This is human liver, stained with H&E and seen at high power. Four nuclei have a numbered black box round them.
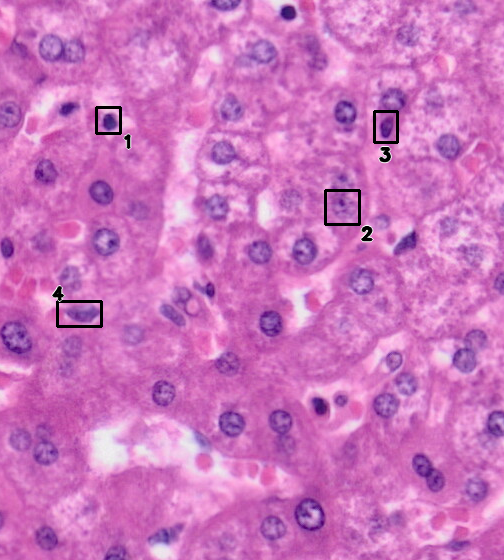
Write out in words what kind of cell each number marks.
Cell 1 is a lymphocyte. Cell 2 is a hepatocyte. Cell 3 is a fibroblast or stellate cell. Cell 4 is an endothelial cell.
